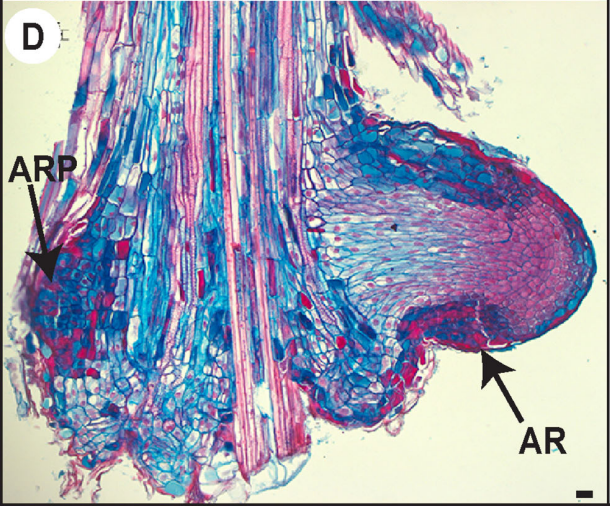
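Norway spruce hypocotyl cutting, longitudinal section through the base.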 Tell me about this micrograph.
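The stem tissue is made of long, narrow cells in parallel files, with red-stained, thick-walled conducting elements running down the middle. On the right, a dome-shaped root bulges out of the stem. Its tip is packed with small, densely stained reddish cells, and long files of cells run back from the tip into the stem. On the left, a dense cluster of small blue and red cells forms a primordium that has not yet broken out of the stem.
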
